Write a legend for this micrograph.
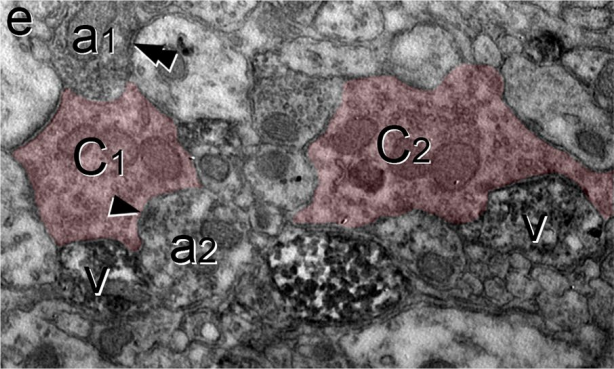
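Two large pink-shaded profiles with irregular, lobed outlines lie side by side, each containing mitochondria. Around them are smaller profiles, several of them dark with label and packed with vesicles, and others pale. These pink profiles are the central terminals of two nearby synaptic glomeruli, and the surrounding dark profiles are labelled axonal boutons and labelled dendrites. An arrowhead marks a contact between one central terminal and a bouton beneath it, an axoaxonic synapse.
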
